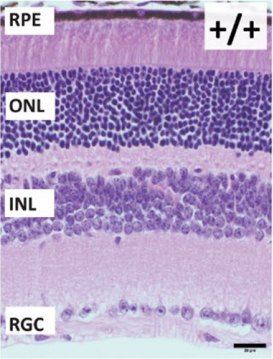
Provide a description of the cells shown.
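This section of retina shows its layers stacked from top to bottom, with nuclei stained dark purple and the fibrous layers pink. At the top a thin dark brown pigmented epithelium lies above a pale pink, finely striated band. Below this is a thick layer of small, round, densely packed, darkly stained nuclei, many rows deep. A pale pink plexiform layer separates it from a thinner band of larger, paler, more loosely arranged nuclei. Beneath lies a broad, finely textured pink plexiform layer, and at the bottom a single row of larger cells with round, lighter nuclei lines the inner surface.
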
